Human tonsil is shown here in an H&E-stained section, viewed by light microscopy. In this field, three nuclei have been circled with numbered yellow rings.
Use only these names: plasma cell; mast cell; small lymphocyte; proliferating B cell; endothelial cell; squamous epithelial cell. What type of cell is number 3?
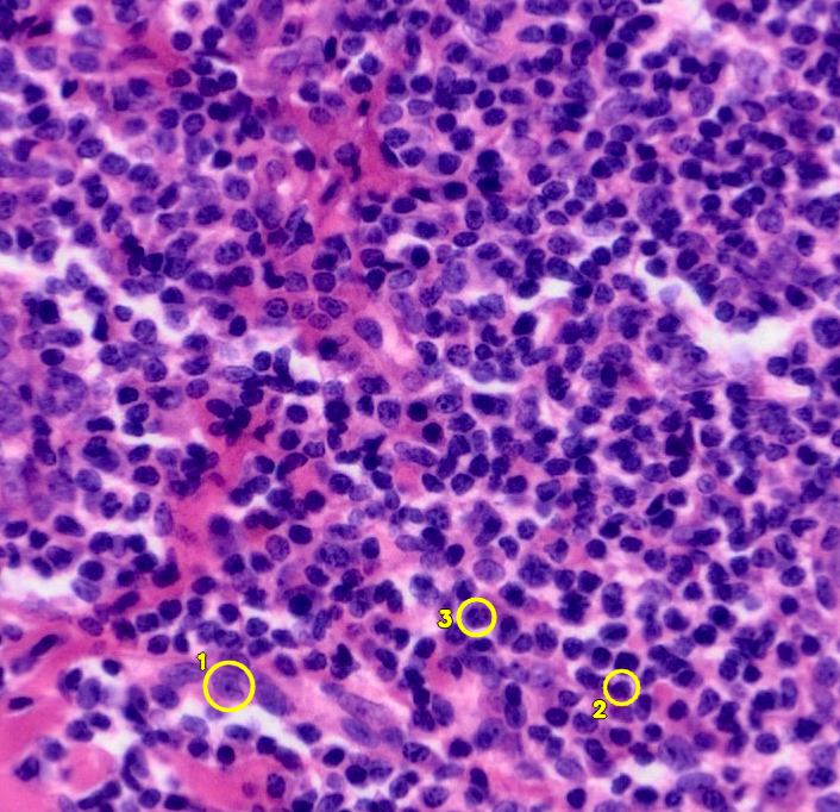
plasma cell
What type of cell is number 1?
endothelial cell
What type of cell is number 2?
small lymphocyte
